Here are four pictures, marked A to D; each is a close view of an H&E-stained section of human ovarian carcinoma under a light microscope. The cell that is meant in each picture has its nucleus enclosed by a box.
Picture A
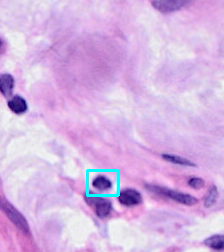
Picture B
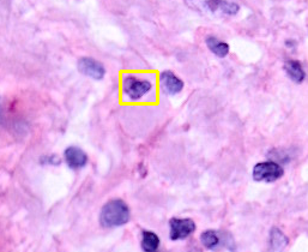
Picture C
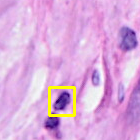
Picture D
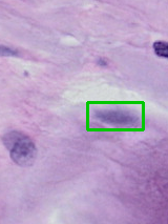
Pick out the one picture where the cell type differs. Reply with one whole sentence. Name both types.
Unlike the rest, which show lymphocytes, picture D shows a fibroblast.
